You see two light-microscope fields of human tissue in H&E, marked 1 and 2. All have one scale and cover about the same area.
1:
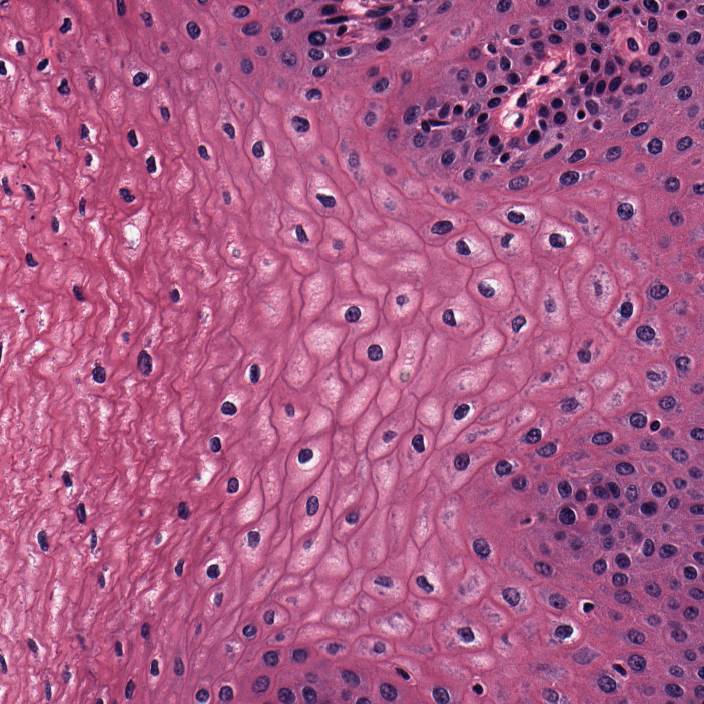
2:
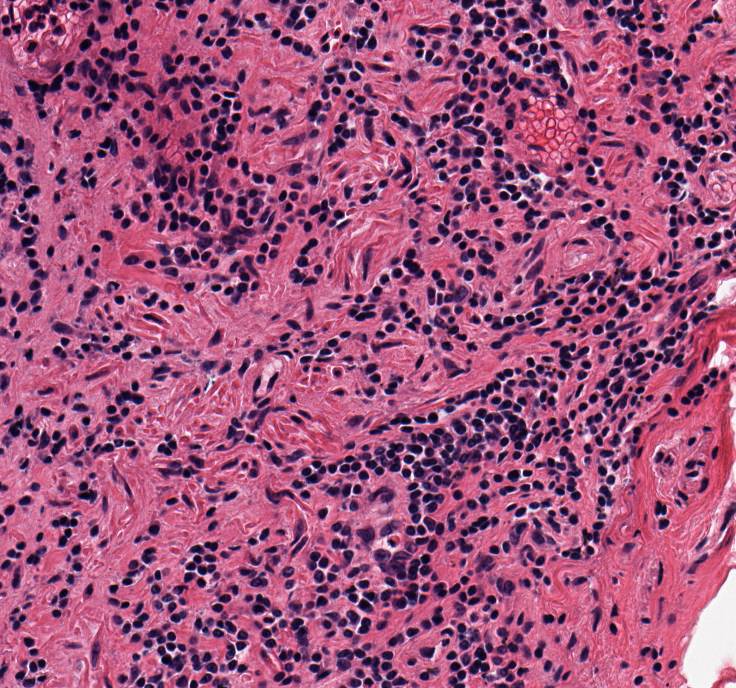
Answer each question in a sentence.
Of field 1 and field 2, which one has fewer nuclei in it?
The smaller number of nuclei is in field 1.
